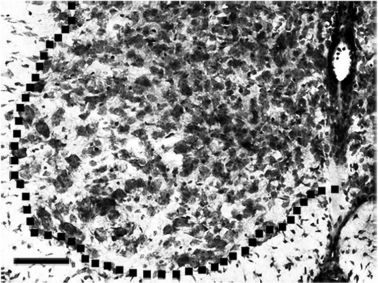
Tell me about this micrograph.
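This is the ventral grey matter of the spinal cord, where a rounded pool of motor neurons is outlined by a dotted line. Inside the outline, many large cell bodies stain dark, with coarse, dense cytoplasm and polygonal or angular shapes, packed closely together. Smaller dark profiles lie scattered between them, likely glial nuclei and smaller neurons. A small vessel runs vertically at the upper right edge of the field.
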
